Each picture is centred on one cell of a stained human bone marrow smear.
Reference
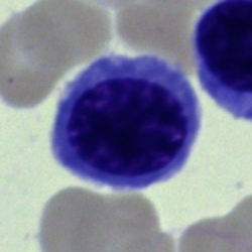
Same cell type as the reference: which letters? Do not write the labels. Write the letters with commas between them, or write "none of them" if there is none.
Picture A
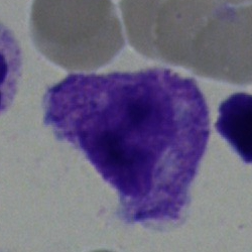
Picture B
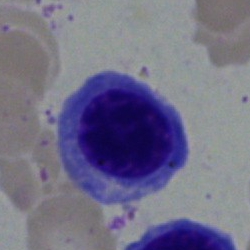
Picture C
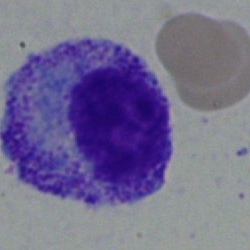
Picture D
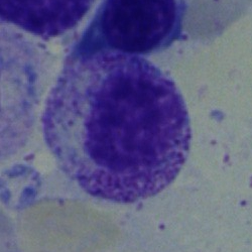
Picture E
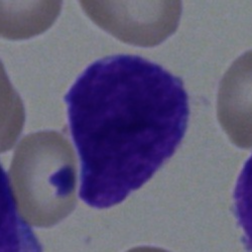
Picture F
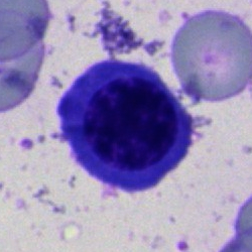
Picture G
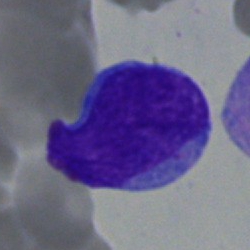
B, F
